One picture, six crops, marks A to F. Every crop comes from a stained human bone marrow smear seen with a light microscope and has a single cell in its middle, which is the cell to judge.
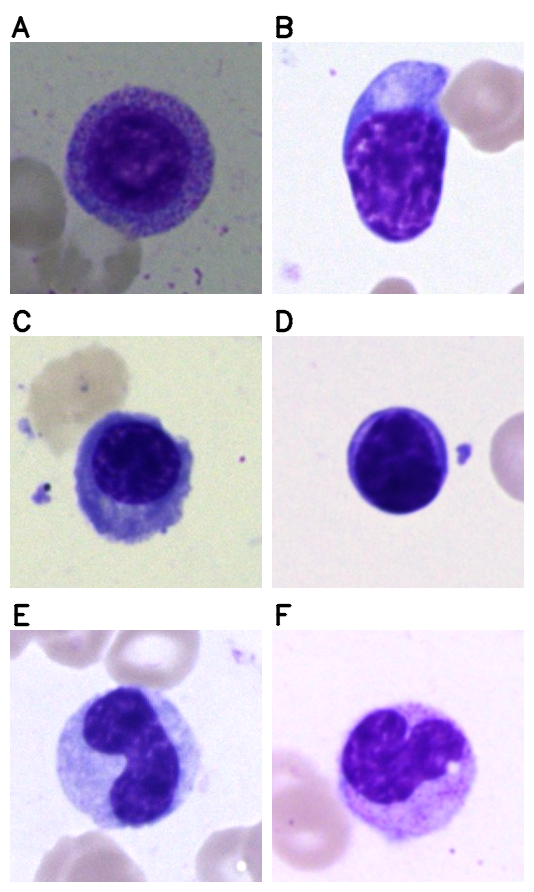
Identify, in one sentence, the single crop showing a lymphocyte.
Crop D is where a lymphocyte is shown.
